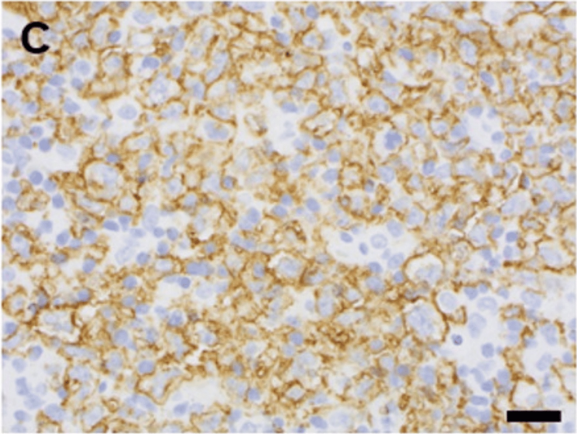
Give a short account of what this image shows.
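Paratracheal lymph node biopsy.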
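Most cells carry brown staining outlining the cell membrane as a ring around each cell, giving a net-like pattern across the field. The nuclei within these rings are pale blue, large, round to oval. Scattered smaller cells with blue nuclei lie between them without a brown rim. The cells lie in dense sheets with small clear spaces between.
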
